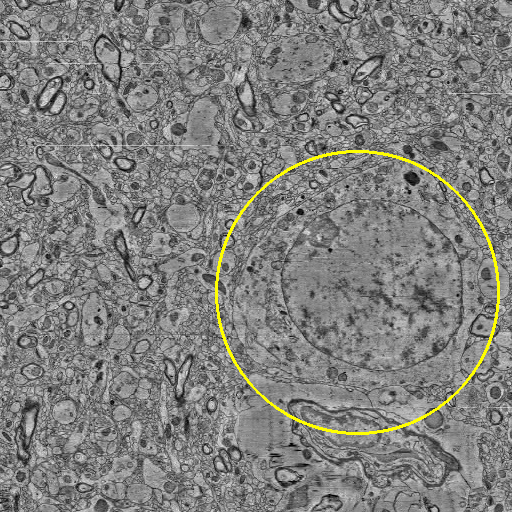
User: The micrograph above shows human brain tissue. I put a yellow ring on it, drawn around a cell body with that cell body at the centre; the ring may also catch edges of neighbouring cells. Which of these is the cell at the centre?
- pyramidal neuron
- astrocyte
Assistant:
pyramidal neuron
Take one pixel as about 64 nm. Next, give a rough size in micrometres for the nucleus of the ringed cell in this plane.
About 12 micrometres across, as seen in this plane.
